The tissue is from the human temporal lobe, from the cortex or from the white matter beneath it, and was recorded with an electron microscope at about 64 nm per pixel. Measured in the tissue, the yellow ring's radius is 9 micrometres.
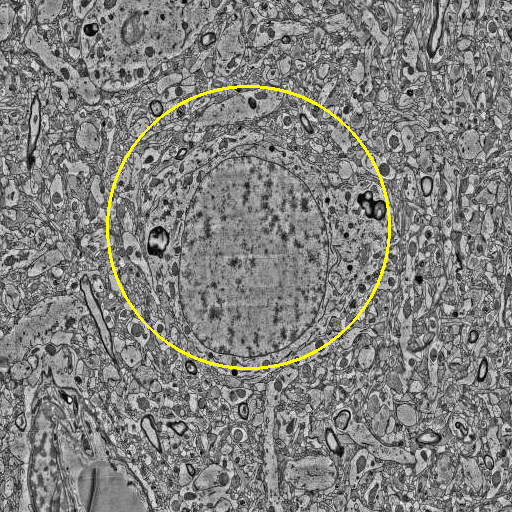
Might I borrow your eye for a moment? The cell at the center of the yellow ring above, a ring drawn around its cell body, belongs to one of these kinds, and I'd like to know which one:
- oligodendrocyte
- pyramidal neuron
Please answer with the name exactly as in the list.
pyramidal neuron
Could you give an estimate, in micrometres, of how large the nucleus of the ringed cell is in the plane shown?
About 13 by 10 micrometers, in this plane.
